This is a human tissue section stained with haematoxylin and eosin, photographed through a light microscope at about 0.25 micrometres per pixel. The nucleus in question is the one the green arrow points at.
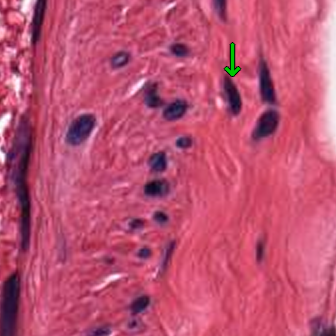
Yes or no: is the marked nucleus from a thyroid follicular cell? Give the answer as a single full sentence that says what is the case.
No, what the marked nucleus belongs to is a supporting cell, not a thyroid follicular cell.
